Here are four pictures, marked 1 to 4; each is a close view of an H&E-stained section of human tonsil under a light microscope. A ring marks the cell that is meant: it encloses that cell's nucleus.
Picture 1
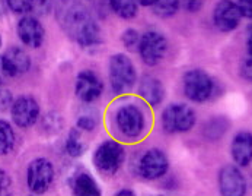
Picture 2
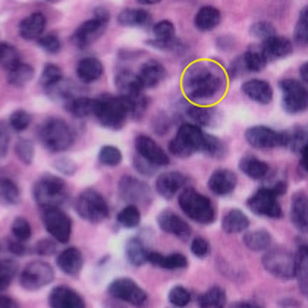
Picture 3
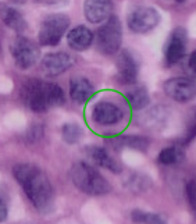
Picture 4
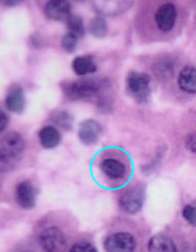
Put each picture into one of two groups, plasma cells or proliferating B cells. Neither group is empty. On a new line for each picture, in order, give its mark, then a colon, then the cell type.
1: plasma cell
2: proliferating B cell
3: plasma cell
4: plasma cell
